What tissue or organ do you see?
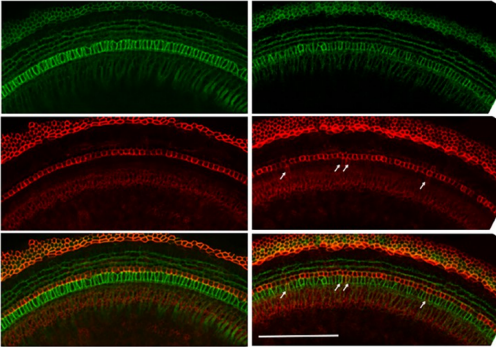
cochlear epithelium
